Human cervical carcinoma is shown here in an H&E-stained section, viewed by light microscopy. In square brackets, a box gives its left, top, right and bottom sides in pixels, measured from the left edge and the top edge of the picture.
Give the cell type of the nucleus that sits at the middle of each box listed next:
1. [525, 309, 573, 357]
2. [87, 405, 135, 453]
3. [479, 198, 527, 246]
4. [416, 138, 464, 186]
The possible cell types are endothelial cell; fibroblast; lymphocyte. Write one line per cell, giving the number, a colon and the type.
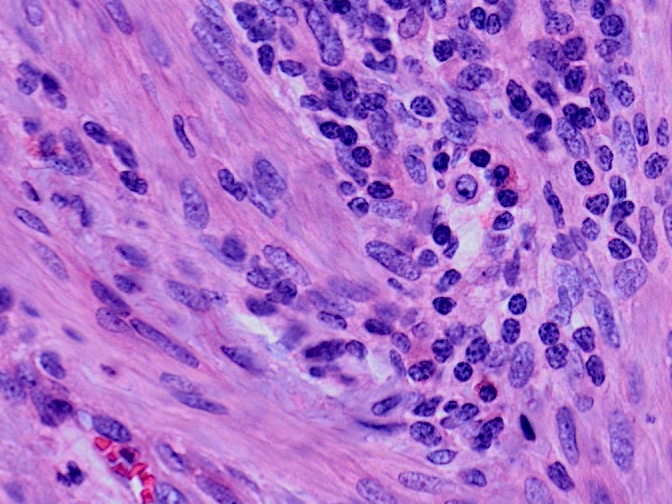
1: lymphocyte
2: endothelial cell
3: lymphocyte
4: lymphocyte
